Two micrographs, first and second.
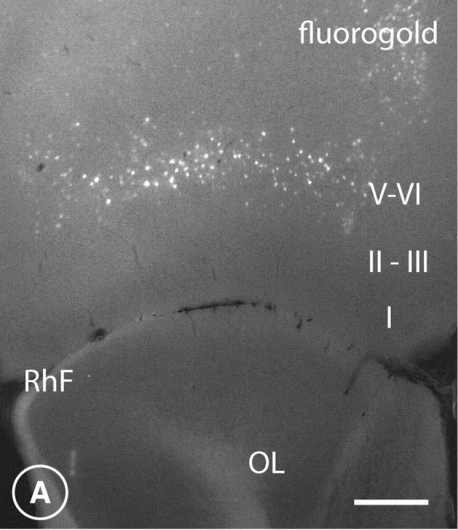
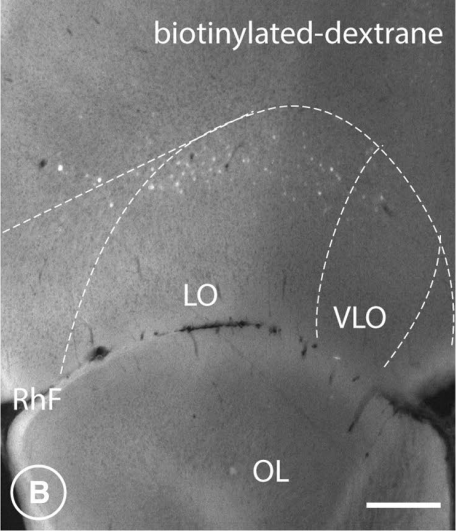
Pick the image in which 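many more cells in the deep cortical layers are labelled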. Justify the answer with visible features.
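Second image: fewer, fainter labelled dots in the deep layers. First image: a dense band of many bright labelled cell bodies in the deep layers.
Conclusion: the first image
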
